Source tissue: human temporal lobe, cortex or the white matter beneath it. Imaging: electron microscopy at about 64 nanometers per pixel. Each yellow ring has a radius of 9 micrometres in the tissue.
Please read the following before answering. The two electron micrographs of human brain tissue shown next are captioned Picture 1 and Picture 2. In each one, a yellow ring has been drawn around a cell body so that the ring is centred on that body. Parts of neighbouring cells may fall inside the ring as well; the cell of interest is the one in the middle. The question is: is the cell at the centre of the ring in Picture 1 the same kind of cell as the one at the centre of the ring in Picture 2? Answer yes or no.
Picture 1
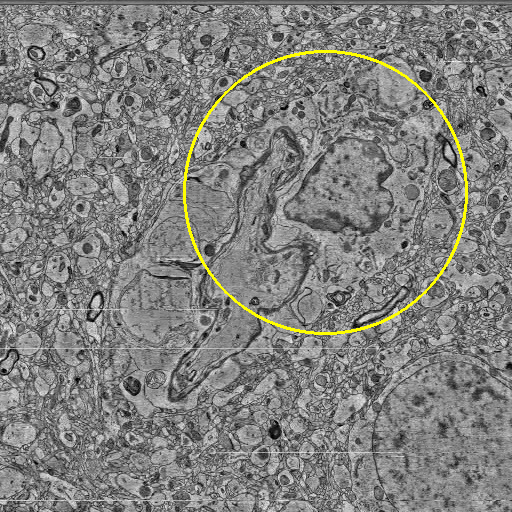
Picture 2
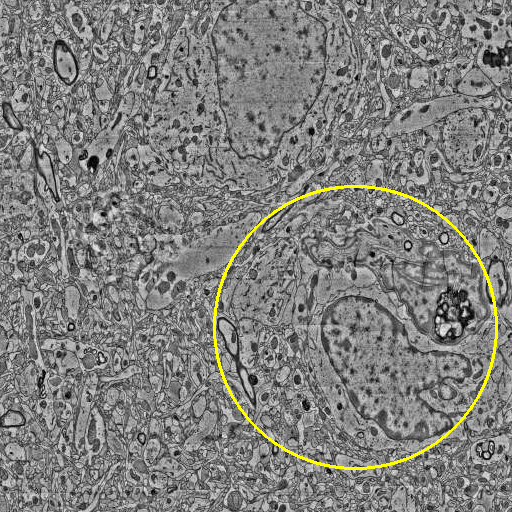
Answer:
yes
